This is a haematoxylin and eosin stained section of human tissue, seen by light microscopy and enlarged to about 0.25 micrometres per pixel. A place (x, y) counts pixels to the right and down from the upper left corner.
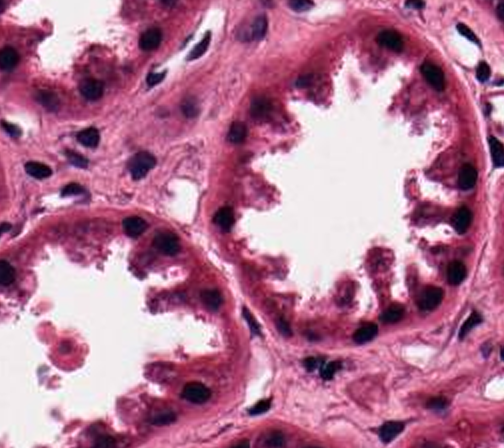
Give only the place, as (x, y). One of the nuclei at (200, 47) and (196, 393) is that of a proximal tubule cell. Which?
(196, 393)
